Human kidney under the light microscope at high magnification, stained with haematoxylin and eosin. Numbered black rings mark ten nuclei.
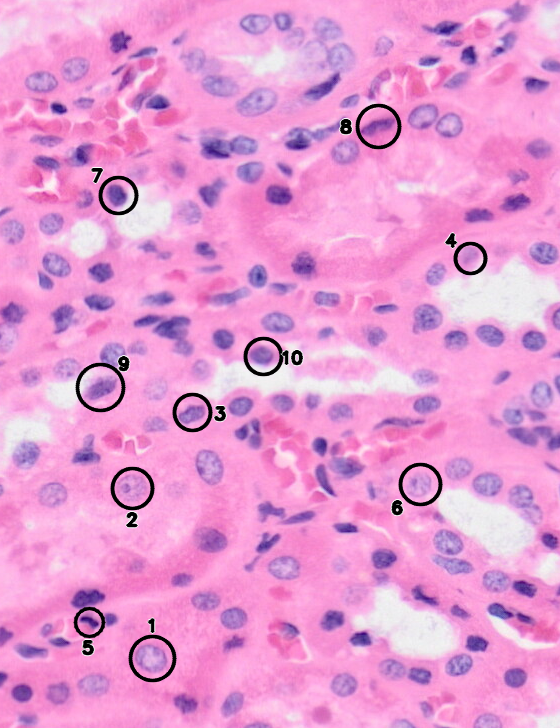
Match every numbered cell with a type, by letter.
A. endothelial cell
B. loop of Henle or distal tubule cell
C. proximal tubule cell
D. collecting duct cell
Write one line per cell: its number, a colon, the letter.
1: C
2: C
3: B
4: B
5: A
6: B
7: B
8: C
9: B
10: B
